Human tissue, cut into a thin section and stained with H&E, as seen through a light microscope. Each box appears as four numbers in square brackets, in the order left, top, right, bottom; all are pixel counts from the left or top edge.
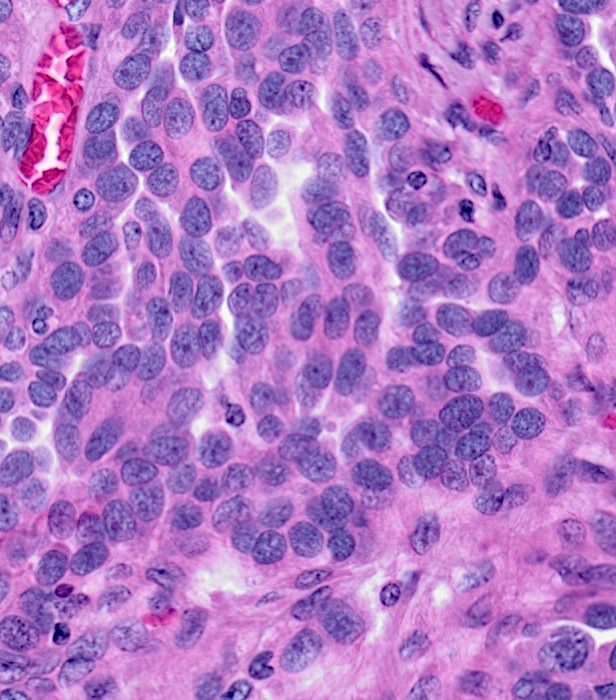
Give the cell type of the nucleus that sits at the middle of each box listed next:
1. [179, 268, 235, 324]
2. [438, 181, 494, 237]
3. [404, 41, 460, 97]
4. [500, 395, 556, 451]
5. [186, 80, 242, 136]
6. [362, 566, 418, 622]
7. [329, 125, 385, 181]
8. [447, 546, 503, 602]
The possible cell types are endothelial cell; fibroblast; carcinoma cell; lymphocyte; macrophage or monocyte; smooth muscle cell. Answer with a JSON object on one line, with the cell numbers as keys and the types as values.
{"1": "carcinoma cell", "2": "lymphocyte", "3": "fibroblast", "4": "carcinoma cell", "5": "carcinoma cell", "6": "macrophage or monocyte", "7": "carcinoma cell", "8": "fibroblast"}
